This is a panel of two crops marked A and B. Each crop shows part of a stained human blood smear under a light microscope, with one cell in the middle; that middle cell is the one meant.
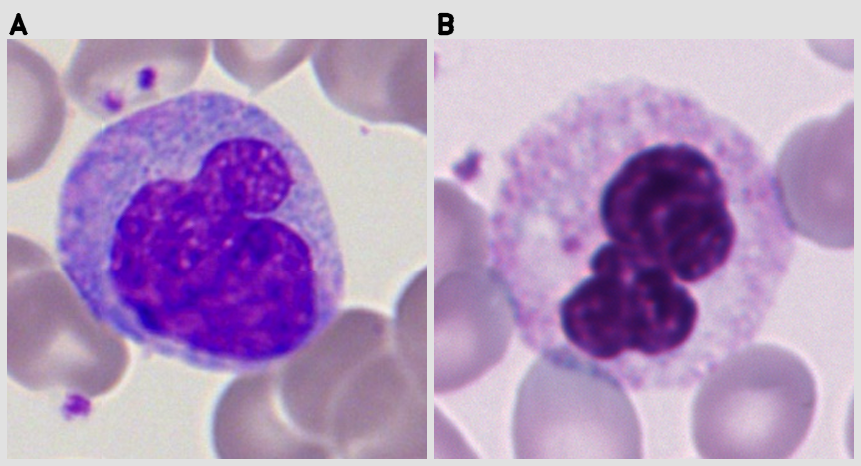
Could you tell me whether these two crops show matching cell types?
no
